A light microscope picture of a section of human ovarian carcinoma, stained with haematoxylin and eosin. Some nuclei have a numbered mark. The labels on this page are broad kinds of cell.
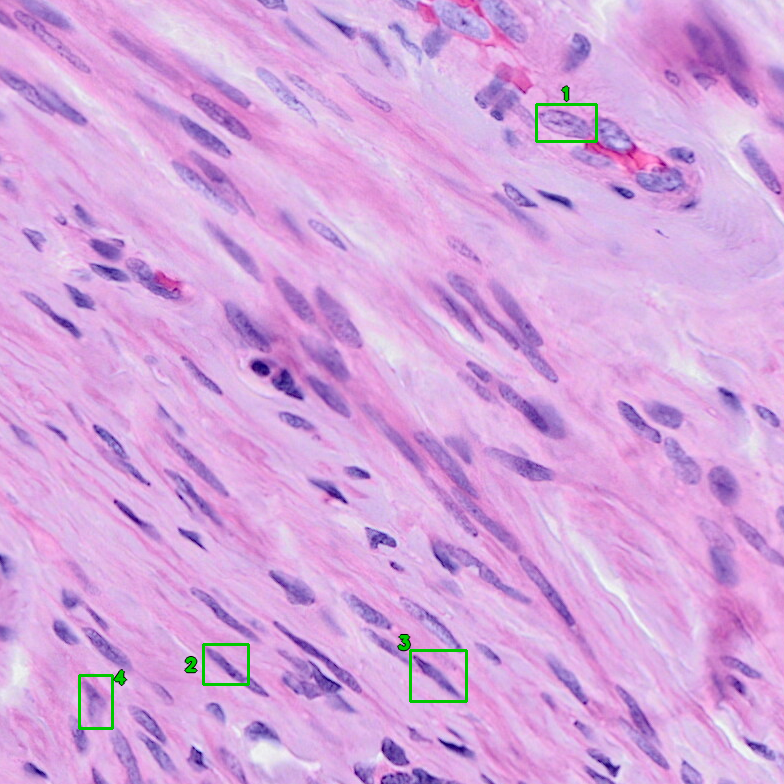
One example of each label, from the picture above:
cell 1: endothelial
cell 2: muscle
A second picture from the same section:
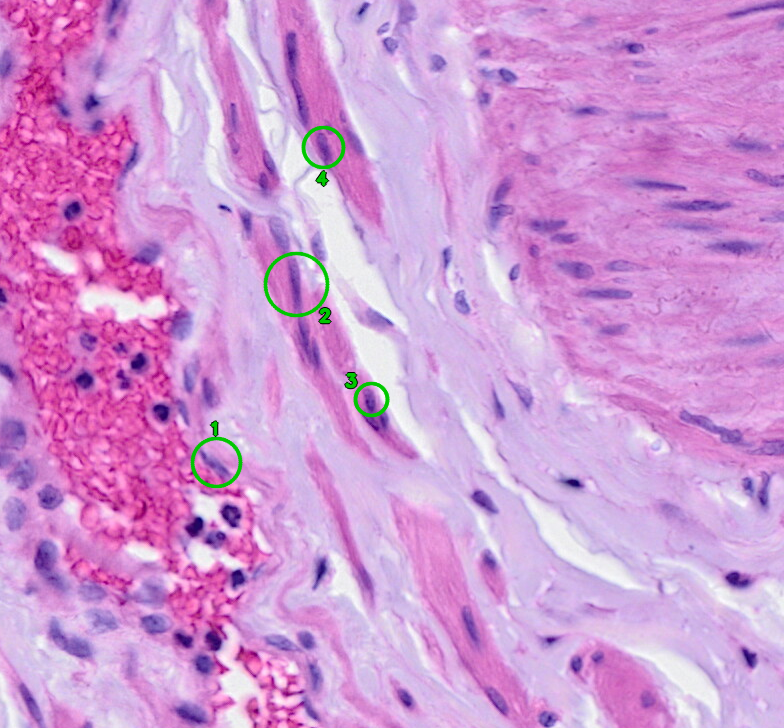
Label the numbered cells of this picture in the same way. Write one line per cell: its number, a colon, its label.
1: endothelial
2: muscle
3: muscle
4: muscle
